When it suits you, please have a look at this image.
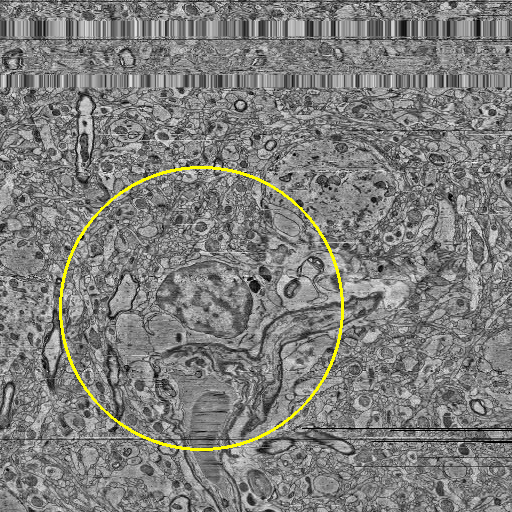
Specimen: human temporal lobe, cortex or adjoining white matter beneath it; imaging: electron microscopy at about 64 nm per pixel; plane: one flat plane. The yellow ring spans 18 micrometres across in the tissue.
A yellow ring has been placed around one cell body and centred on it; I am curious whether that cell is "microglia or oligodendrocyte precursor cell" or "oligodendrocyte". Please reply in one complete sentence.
The ringed cell, a microglial cell or oligodendrocyte precursor cell, has its body at the centre of the yellow ring.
